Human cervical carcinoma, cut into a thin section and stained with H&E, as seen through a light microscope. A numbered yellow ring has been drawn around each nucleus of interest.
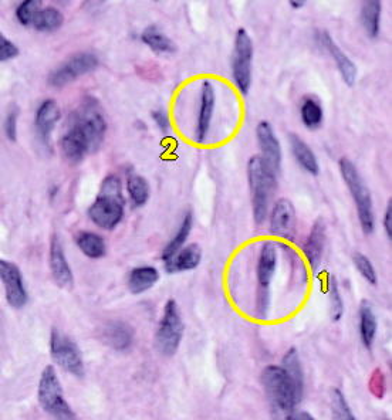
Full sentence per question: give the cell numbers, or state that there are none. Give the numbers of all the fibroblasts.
Cell 2 is the only one of the numbered cells that is a fibroblast.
